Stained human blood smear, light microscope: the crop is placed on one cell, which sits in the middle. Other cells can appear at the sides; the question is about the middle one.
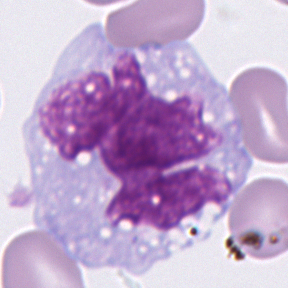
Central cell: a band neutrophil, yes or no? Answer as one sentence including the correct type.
No, the central cell is a monocyte; it should not be labelled a band neutrophil.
